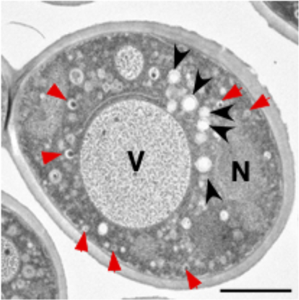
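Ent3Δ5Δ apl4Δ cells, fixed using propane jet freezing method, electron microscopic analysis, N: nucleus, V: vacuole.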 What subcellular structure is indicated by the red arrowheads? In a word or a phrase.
Vesicles.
